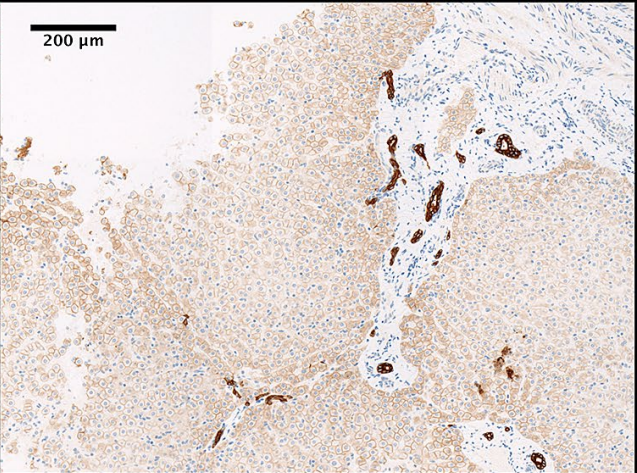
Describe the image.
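This is liver with sheets of hepatocytes that are lightly brown in their cytoplasm and membranes, interrupted by a branching band of pale connective tissue with small blue nuclei. Within that band and at smaller branch points lie bile ducts, whose lining cells are stained a strong dark brown in tubes and rings.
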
